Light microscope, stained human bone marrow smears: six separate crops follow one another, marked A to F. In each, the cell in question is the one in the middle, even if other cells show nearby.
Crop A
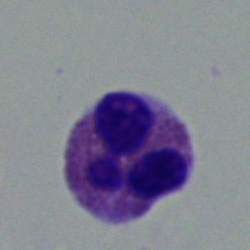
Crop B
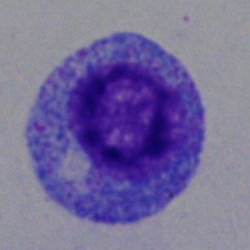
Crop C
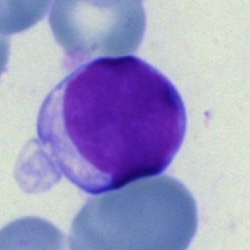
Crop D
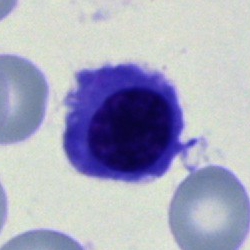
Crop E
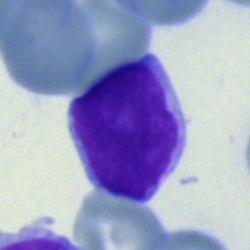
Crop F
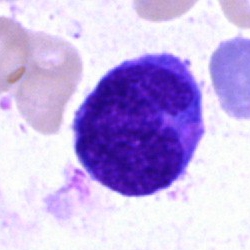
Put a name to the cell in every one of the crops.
A: eosinophil
B: myelocyte
C: lymphocyte
D: normoblast
E: lymphocyte
F: blast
